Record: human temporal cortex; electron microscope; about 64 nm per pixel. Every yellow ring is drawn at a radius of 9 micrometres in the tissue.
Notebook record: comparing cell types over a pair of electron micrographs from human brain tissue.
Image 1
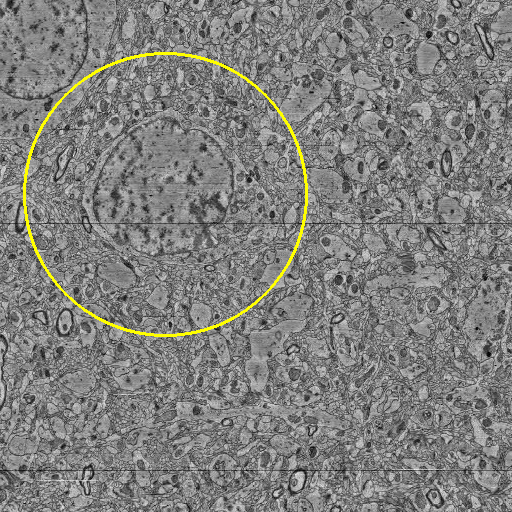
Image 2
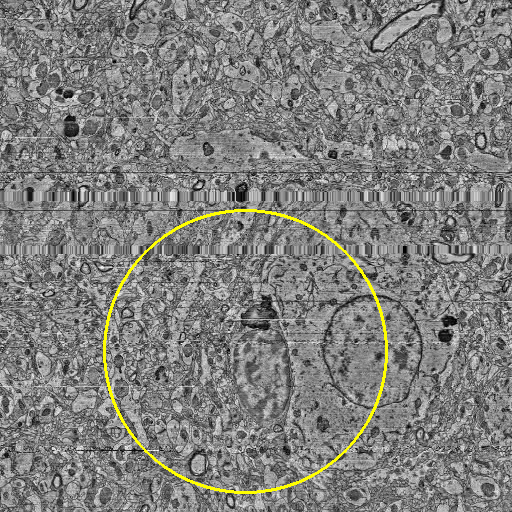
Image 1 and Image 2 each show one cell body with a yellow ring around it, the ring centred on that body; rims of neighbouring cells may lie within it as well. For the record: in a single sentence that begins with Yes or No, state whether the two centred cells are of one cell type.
No, two cell types are found among the centred cells of Image 1 and Image 2.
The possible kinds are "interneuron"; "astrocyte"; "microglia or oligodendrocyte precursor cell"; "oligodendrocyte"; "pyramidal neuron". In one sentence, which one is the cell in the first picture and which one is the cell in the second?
The cell ringed in the second picture is an oligodendrocyte, whereas the one ringed in the first is an interneuron.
